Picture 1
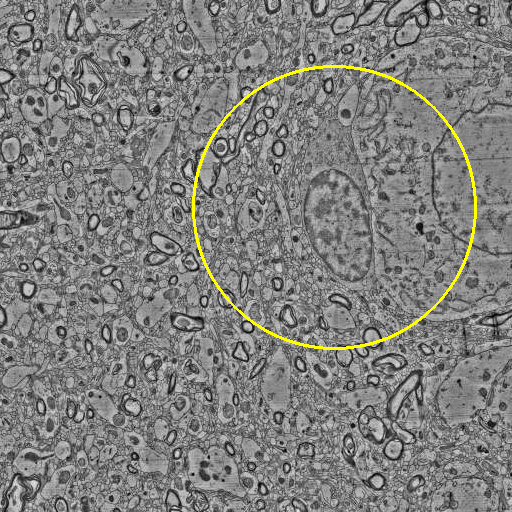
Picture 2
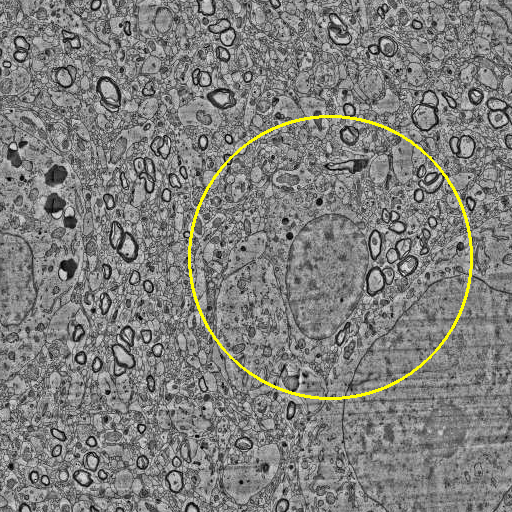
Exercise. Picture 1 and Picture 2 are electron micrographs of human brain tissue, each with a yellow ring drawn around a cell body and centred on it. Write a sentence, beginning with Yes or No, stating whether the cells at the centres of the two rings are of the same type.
Yes, the cells at the centres of both rings are of the same type.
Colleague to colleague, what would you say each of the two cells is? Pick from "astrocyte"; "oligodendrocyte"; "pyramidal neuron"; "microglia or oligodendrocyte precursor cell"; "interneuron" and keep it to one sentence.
Each of the two cells is an oligodendrocyte.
